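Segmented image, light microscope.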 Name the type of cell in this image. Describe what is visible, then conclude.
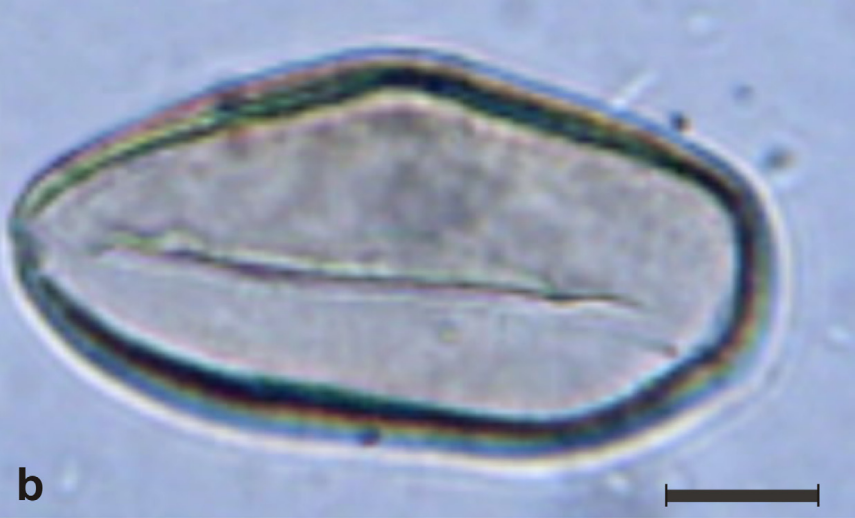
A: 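Pollen grain. A single elliptical body with a thick, smooth, refractile wall. A long slit-like furrow runs lengthwise across the middle of the grain. The interior is pale and finely granular.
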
